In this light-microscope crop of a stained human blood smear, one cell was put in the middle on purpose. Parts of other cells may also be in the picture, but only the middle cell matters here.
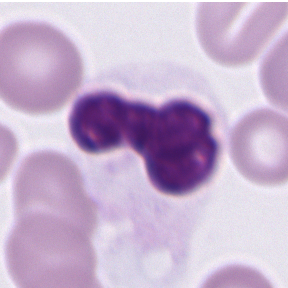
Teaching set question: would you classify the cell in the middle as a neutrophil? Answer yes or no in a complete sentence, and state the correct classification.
Yes, in the middle of the crop is a neutrophil.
